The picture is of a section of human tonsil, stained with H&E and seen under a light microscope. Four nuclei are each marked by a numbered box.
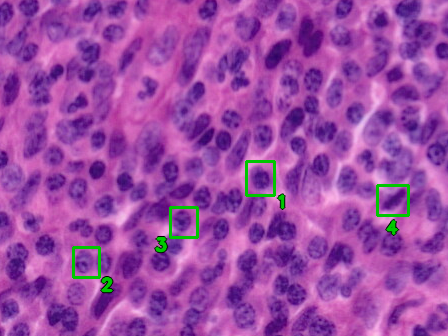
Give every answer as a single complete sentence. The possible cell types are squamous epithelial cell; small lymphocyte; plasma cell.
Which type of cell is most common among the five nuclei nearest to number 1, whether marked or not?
Most of the five nuclei nearest to number 1 are those of squamous epithelial cells.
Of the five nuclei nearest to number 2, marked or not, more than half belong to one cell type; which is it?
The majority of the five nuclei closest to number 2 belong to plasma cells.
